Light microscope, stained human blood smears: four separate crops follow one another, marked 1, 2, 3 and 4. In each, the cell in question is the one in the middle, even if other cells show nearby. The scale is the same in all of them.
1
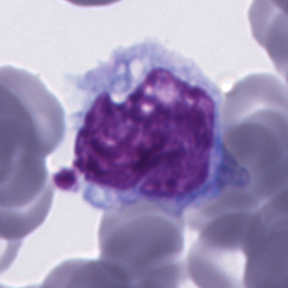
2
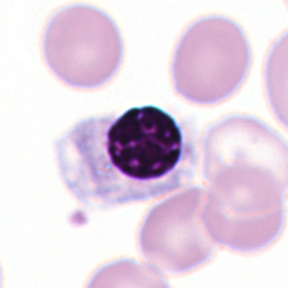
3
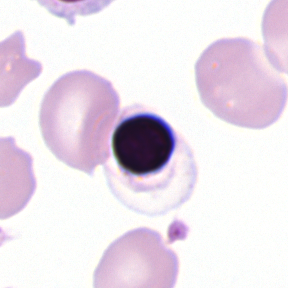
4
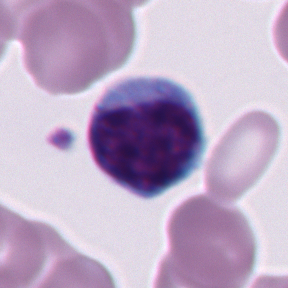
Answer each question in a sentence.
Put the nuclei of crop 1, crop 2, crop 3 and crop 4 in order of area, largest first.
From the largest down, the order is 1, 4, 2, 3.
